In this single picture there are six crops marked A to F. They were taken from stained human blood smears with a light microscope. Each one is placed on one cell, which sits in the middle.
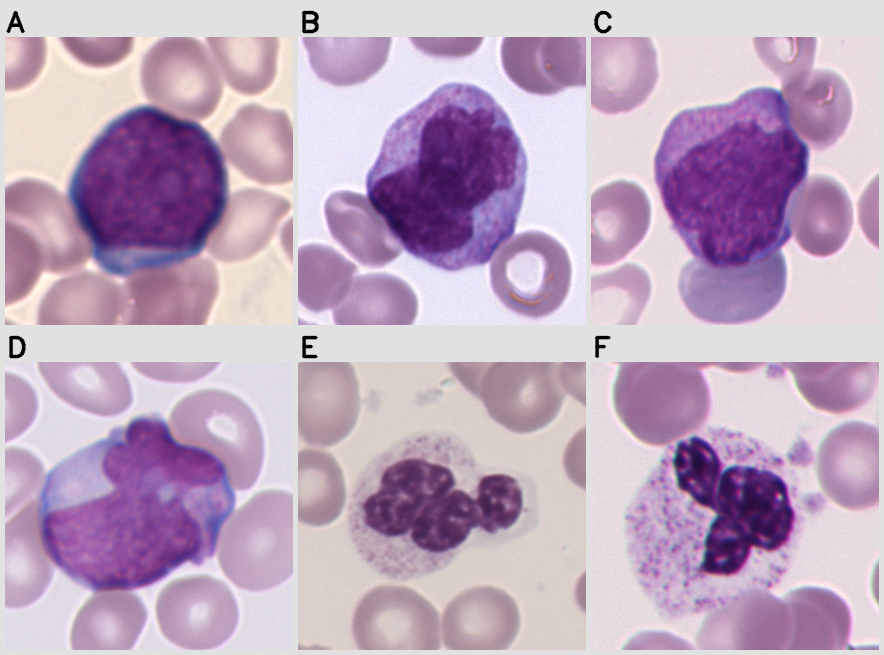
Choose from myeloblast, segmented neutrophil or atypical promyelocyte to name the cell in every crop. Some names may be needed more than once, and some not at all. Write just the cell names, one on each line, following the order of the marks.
myeloblast
atypical promyelocyte
atypical promyelocyte
atypical promyelocyte
segmented neutrophil
segmented neutrophil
